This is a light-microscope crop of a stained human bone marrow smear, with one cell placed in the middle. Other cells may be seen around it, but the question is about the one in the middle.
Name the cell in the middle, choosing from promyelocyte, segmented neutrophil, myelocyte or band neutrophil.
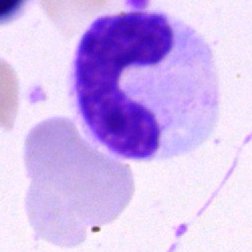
band neutrophil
